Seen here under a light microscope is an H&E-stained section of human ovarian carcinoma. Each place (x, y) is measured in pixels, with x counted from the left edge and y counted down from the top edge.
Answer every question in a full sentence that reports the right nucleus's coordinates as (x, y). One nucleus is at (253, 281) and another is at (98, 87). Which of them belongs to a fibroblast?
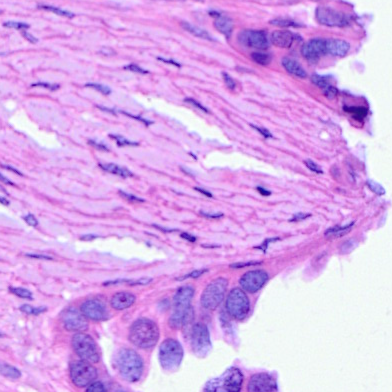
The member of the pair belonging to a fibroblast is the nucleus at (98, 87).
